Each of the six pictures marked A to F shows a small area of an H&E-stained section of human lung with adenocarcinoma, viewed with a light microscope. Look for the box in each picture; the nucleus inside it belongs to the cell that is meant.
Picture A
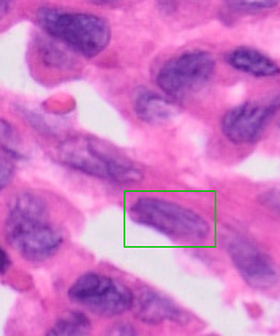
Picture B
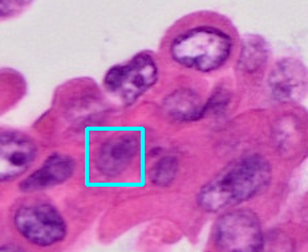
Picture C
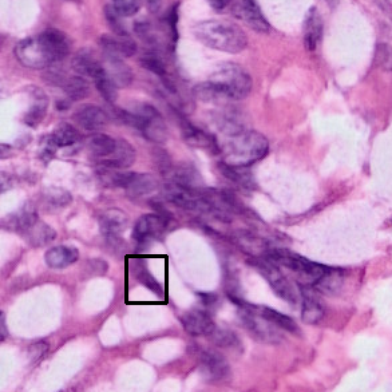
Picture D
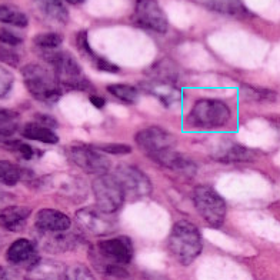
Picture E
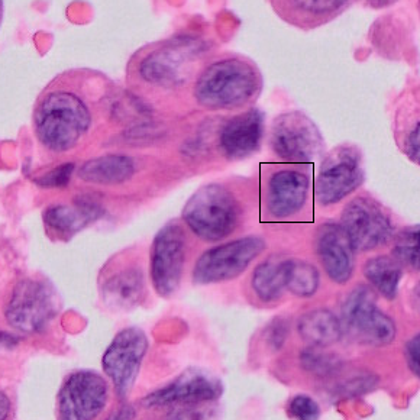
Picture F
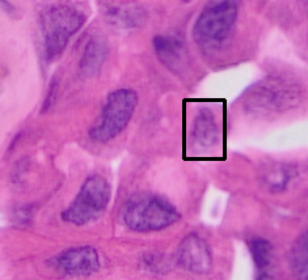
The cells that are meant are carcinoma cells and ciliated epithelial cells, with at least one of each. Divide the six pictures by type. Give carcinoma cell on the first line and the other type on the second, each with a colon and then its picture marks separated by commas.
carcinoma cell: A, B, E, F
ciliated epithelial cell: C, D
